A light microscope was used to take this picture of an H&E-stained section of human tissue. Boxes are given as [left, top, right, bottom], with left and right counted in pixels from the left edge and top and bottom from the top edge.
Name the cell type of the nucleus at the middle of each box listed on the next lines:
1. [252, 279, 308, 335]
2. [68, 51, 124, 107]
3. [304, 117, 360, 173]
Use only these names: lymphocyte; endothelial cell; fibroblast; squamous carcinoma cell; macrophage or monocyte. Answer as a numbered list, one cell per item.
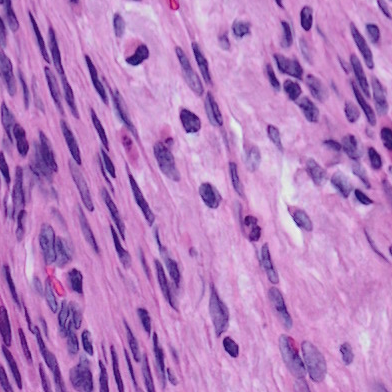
1. endothelial cell
2. fibroblast
3. fibroblast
